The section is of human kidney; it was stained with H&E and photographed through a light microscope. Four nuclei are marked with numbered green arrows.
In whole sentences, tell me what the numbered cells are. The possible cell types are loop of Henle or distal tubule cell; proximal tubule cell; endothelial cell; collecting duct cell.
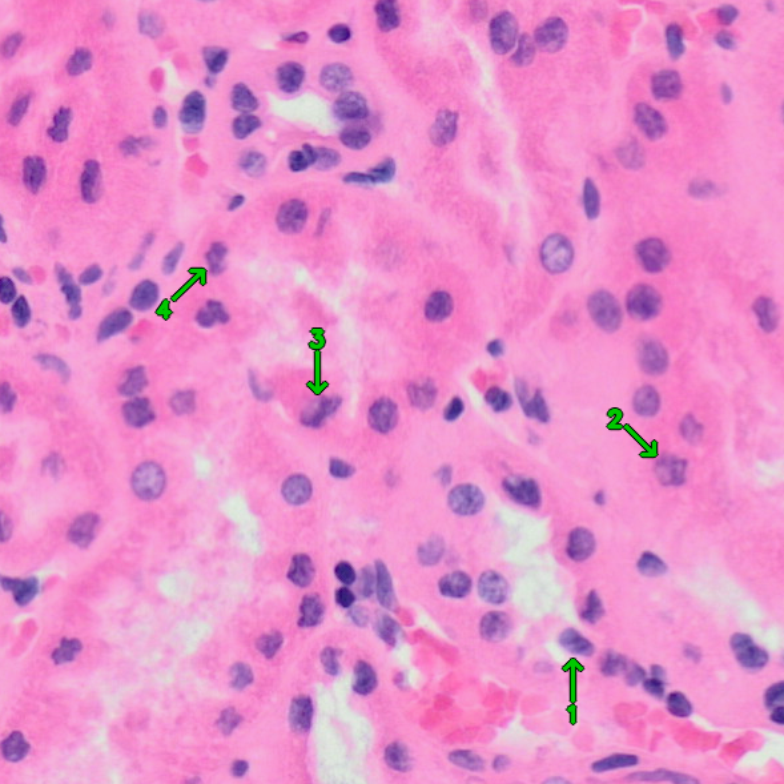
Cell 1 is a loop of Henle or distal tubule cell, cell 2 is a proximal tubule cell, cell 3 is a proximal tubule cell and cell 4 is a proximal tubule cell.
